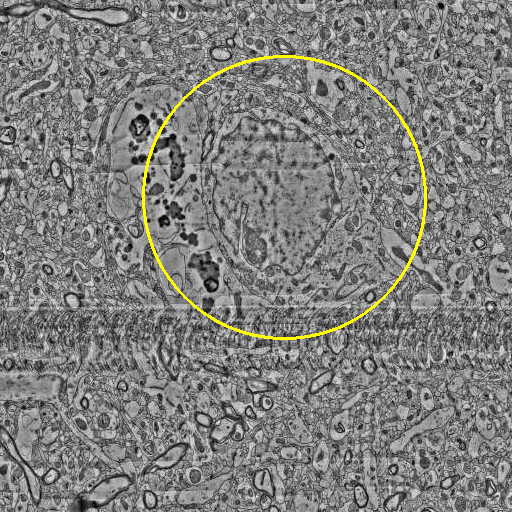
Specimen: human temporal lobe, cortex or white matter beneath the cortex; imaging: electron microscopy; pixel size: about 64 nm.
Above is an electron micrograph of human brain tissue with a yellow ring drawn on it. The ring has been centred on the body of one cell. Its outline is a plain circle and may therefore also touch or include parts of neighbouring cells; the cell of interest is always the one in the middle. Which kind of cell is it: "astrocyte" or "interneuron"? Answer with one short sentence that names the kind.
The ring's central cell body is that of an interneuron.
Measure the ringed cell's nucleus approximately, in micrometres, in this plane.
Approximately 10 by 8 micrometers in this plane.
